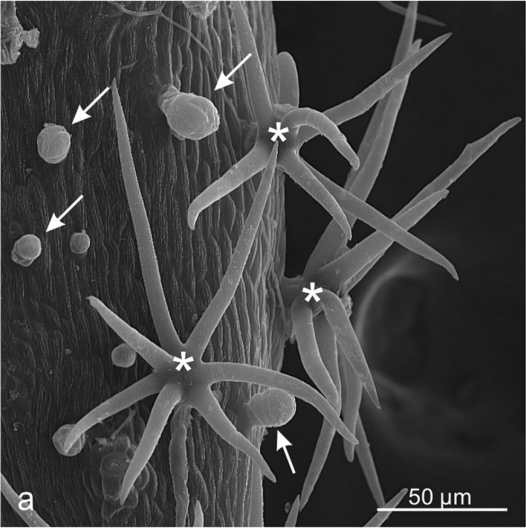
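The stellate hairs each have several long, slender, tapering arms that radiate from a single central base, some lying over one another. The glandular trichomes are small, rounded heads on very short stalks, scattered between the star-shaped hairs. The underlying epidermis consists of elongated cells running lengthwise, giving the surface a finely striated look.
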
